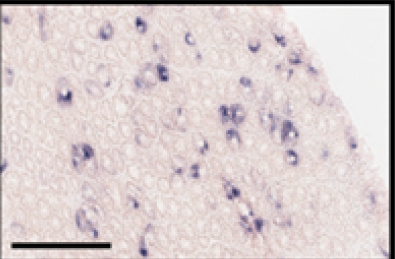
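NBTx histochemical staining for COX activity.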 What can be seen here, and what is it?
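Colonic mucosa cut largely across the crypts, which appear as closely packed round glandular profiles, each with a small pale central lumen surrounded by a ring of epithelium. Most crypts are pale pink and lack reaction product.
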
